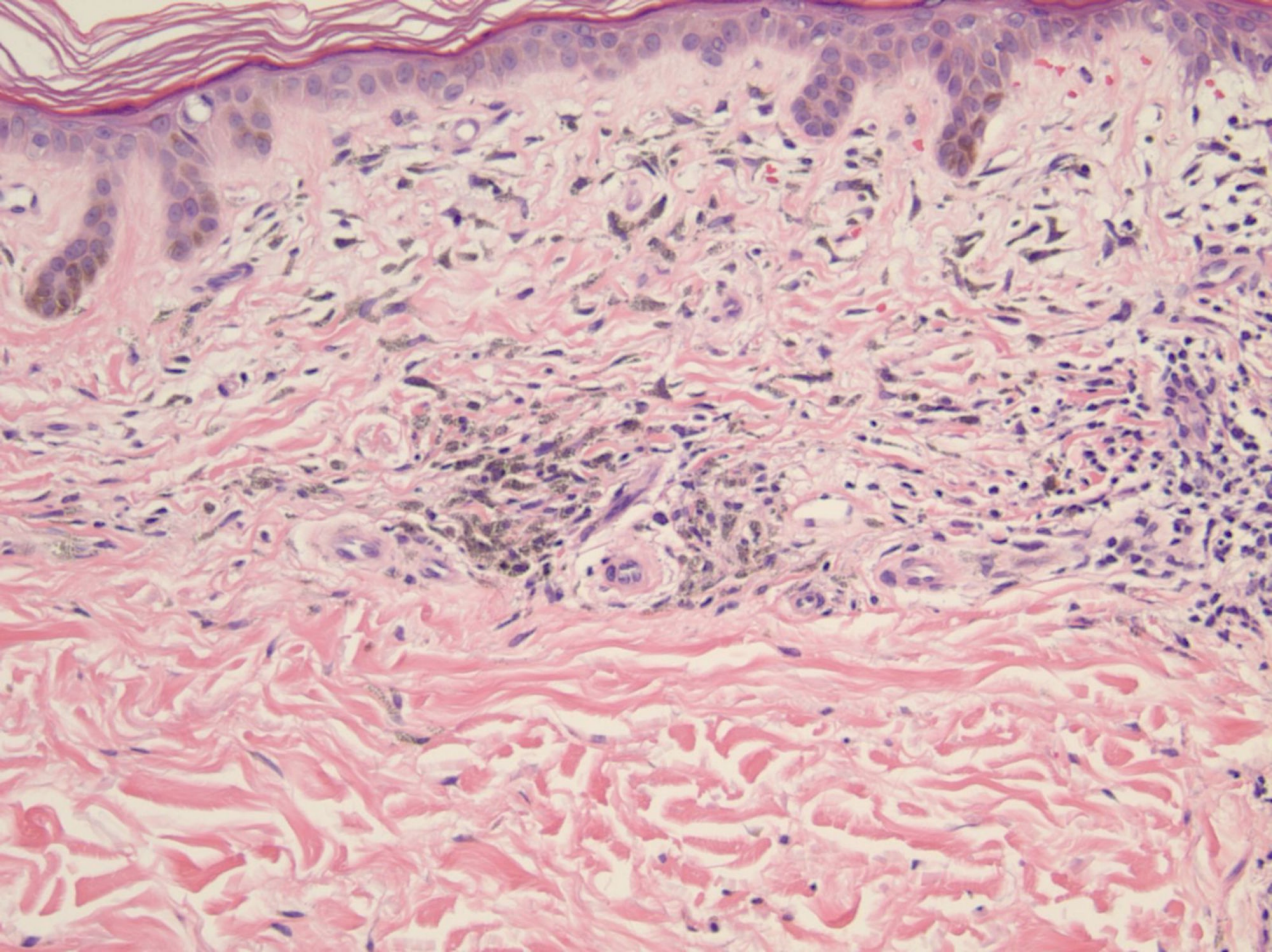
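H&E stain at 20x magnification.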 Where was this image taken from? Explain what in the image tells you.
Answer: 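Pigment-laden cells lie just beneath the epidermis and in the upper dermis. The deeper dermis at the bottom, with coarse collagen bundles, is largely free of pigment.
Papillary and superficial reticular dermis.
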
